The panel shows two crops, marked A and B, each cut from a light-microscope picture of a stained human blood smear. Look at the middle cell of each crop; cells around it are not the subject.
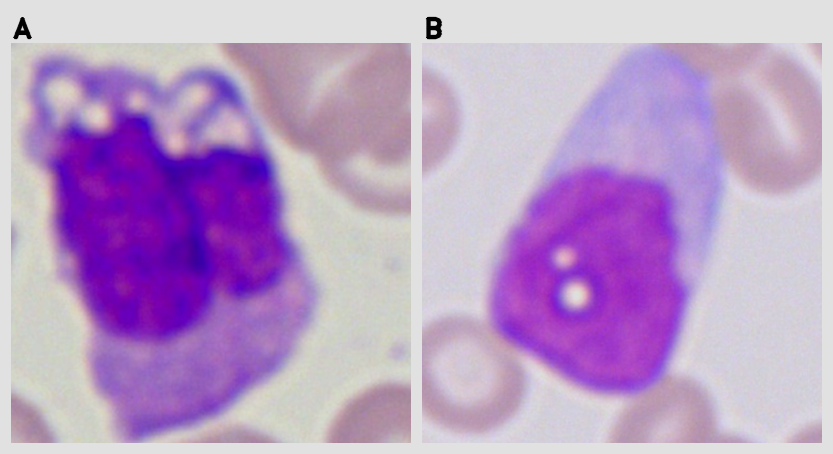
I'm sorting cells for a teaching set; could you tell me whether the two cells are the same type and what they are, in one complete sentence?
Yes, both crops feature monocytes at the centre.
